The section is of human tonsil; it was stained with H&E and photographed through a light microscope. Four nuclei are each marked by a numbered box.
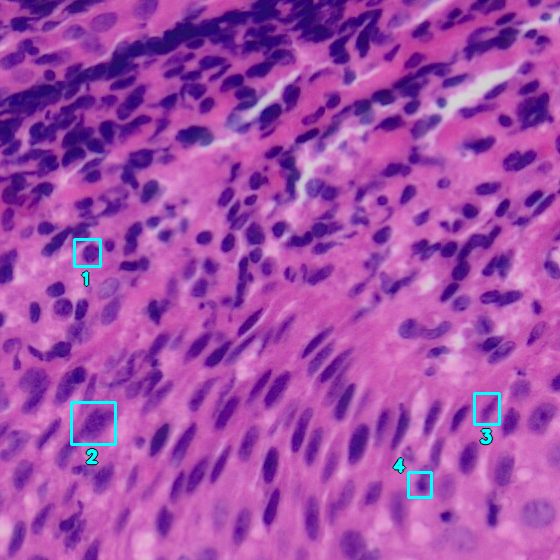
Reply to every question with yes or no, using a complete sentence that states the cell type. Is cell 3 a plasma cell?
No, cell 3 is not a plasma cell: it is a squamous epithelial cell.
